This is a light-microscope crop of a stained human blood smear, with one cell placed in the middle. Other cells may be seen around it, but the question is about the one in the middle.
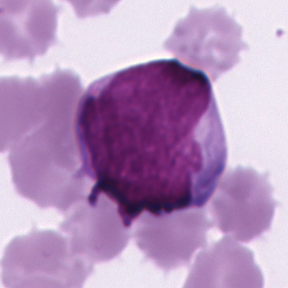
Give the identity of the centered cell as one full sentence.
Among the cells in view, the one in the middle is a blast.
